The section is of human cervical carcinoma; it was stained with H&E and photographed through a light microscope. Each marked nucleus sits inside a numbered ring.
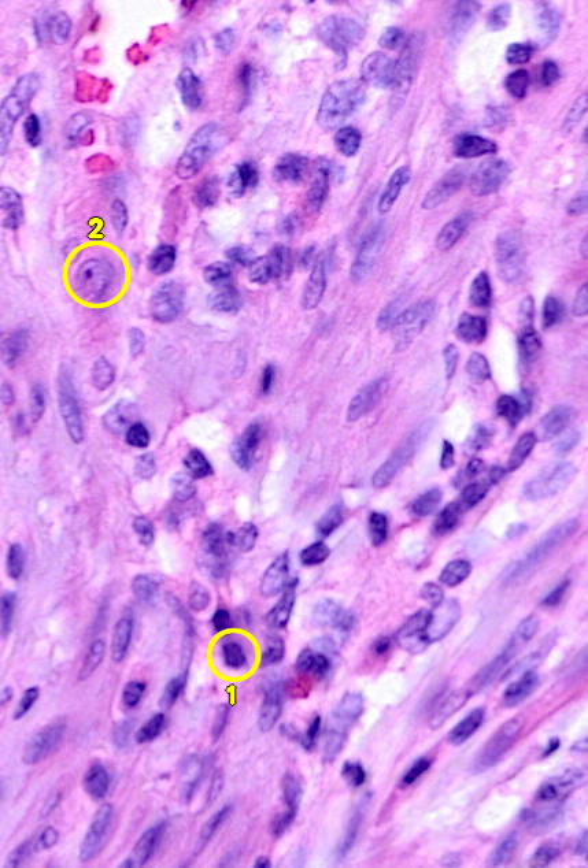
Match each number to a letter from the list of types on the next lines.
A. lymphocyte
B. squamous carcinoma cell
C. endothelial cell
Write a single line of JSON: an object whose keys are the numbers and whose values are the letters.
{"1": "A", "2": "C"}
